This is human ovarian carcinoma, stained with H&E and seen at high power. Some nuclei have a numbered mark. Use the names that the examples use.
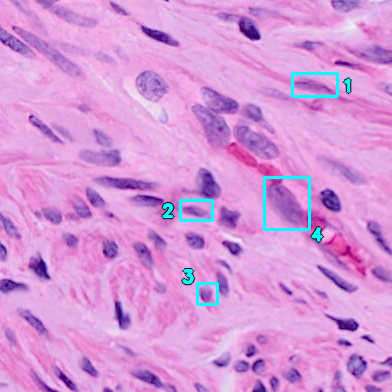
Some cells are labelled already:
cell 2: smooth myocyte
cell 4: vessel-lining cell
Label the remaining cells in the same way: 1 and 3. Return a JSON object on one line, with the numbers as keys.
{"1": "smooth myocyte", "3": "smooth myocyte"}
